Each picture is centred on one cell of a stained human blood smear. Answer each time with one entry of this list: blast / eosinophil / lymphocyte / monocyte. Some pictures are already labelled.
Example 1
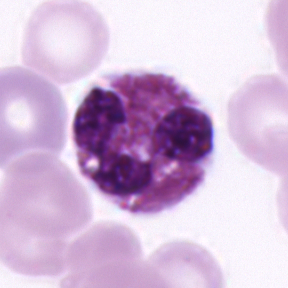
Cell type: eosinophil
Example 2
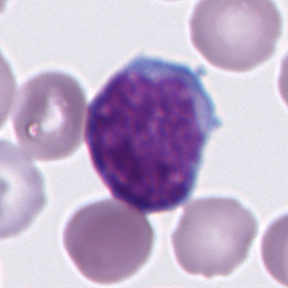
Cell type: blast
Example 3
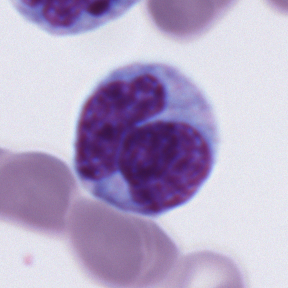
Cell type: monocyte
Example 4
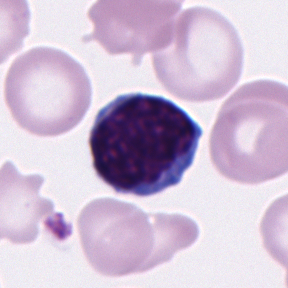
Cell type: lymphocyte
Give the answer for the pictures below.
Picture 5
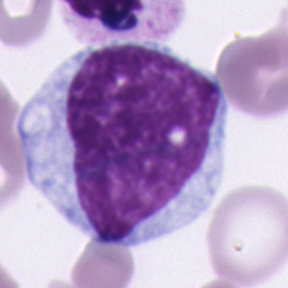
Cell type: monocyte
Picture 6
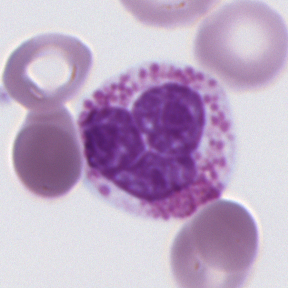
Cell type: eosinophil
